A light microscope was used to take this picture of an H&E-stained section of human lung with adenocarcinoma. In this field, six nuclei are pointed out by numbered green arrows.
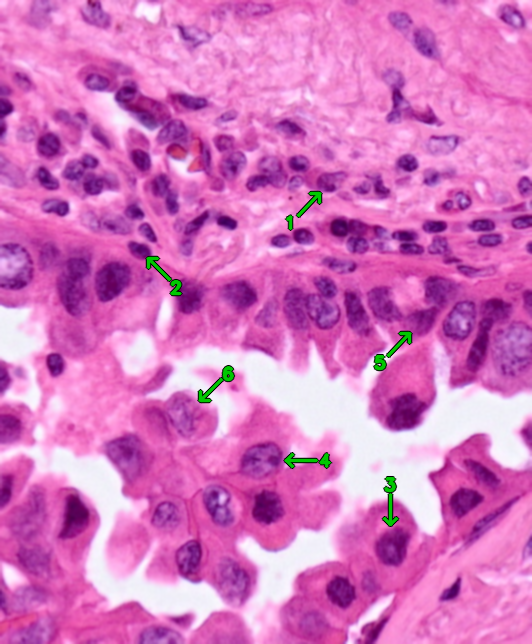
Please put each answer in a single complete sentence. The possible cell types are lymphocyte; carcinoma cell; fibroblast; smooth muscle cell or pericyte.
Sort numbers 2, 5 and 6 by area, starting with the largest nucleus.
The nuclei rank 6, 5, 2, from largest to smallest.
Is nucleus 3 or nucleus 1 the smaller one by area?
Nucleus 1 covers less area, with nucleus 3 about 2 times as large.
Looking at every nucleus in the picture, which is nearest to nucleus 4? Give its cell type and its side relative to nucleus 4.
It is a carcinoma cell, whose nucleus lies below nucleus 4.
